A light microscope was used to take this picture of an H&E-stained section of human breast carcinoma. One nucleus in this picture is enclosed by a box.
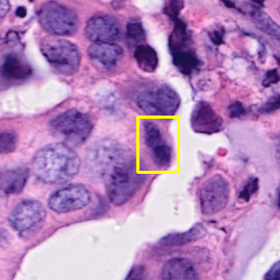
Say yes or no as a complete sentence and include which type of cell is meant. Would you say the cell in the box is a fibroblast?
No, the cell in the box is a carcinoma cell; it is not a fibroblast.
